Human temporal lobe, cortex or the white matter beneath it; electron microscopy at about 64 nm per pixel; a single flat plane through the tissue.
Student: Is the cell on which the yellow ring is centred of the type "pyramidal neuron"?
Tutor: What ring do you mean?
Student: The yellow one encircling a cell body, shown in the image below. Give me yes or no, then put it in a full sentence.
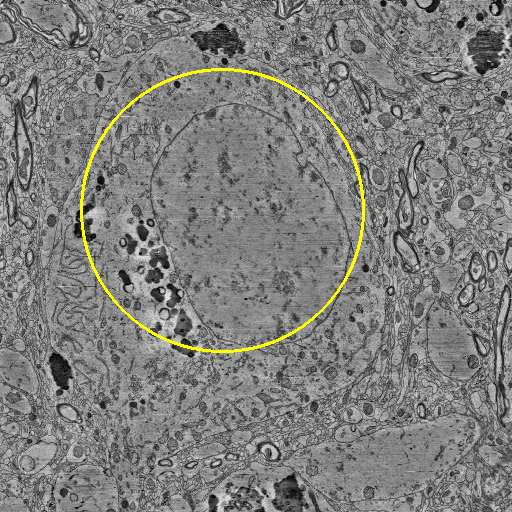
Yes, the cell on which the yellow ring in the image is centred has that type.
